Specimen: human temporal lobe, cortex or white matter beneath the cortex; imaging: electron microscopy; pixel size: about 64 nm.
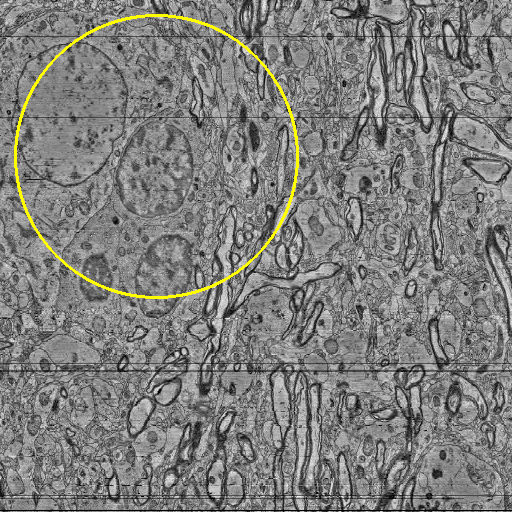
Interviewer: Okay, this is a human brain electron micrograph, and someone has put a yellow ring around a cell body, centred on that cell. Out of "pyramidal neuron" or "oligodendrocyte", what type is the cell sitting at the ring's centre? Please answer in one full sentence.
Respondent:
The cell at the centre of the yellow ring in this picture is an oligodendrocyte.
